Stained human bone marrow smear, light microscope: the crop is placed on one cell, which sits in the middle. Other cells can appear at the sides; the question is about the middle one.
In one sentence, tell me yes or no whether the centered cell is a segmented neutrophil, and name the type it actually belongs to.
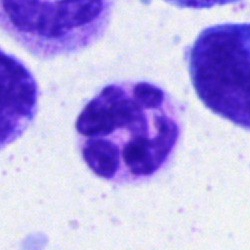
Yes, it is a segmented neutrophil that is seen at the centre of the crop.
